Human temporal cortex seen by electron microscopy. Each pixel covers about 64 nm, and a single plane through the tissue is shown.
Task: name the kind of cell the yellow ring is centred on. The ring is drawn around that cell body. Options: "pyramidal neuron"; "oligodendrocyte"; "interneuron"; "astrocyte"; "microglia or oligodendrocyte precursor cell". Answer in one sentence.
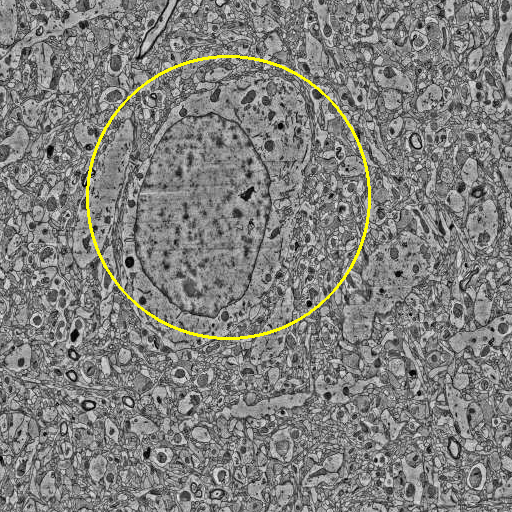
This cell body belongs to a pyramidal neuron.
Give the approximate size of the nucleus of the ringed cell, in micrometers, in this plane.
In this plane, the nucleus of the cell at the centre of the ring measures about 13 by 9 micrometres.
